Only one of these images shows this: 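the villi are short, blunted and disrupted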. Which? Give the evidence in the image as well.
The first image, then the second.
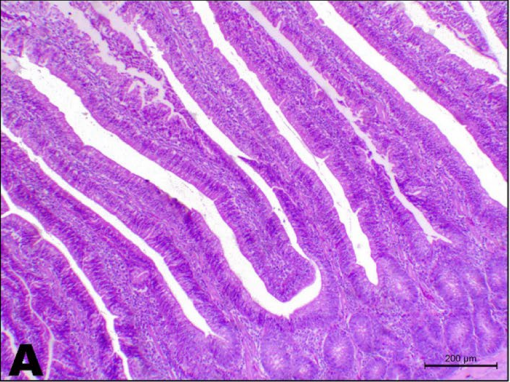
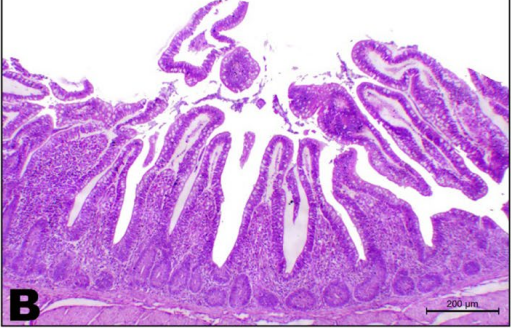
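Second image: short, irregular villi with ragged, broken tips and detached fragments in the lumen. First image: long, intact, parallel villi with a continuous epithelial lining.
Conclusion: the second image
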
